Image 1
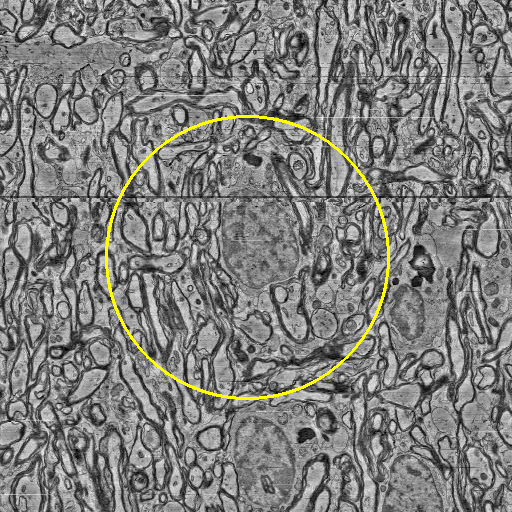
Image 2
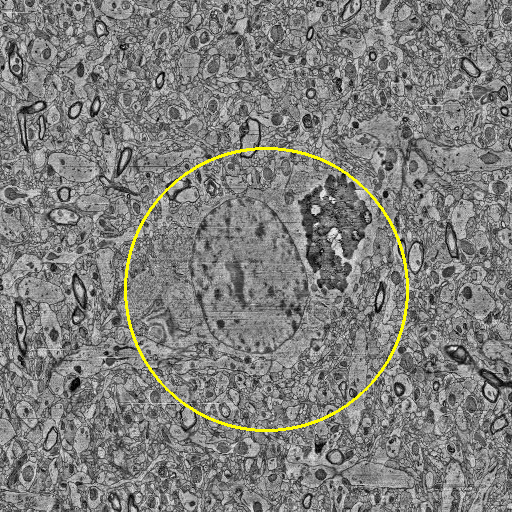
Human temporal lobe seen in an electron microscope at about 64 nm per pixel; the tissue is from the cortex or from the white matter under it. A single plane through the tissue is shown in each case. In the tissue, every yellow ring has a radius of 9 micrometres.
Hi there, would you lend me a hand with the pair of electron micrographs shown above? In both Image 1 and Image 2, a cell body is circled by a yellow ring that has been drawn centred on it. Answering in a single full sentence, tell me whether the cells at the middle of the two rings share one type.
No, the ringed cells in Image 1 and Image 2 belong to two types.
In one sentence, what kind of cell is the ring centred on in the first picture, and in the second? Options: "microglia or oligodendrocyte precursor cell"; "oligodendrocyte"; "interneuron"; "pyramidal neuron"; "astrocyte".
The cell at the centre of the second ring is an astrocyte; the first ring's cell is an oligodendrocyte.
